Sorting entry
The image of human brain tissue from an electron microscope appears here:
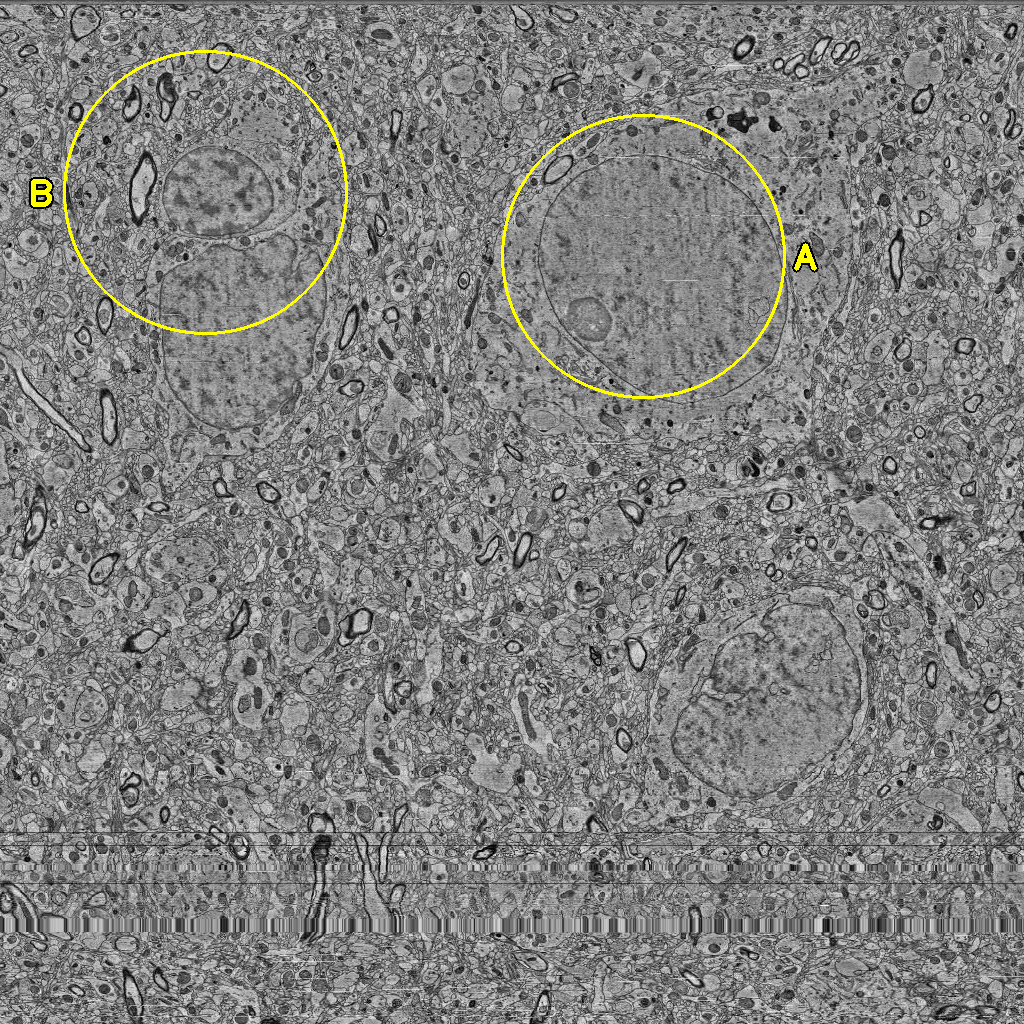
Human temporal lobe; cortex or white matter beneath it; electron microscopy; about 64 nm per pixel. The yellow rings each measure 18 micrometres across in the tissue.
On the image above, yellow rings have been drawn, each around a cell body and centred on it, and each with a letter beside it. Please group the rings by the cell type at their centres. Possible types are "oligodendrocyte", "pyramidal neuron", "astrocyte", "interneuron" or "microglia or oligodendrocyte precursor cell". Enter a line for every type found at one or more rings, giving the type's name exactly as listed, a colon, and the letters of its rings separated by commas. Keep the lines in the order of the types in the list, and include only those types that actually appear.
oligodendrocyte: B
pyramidal neuron: A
